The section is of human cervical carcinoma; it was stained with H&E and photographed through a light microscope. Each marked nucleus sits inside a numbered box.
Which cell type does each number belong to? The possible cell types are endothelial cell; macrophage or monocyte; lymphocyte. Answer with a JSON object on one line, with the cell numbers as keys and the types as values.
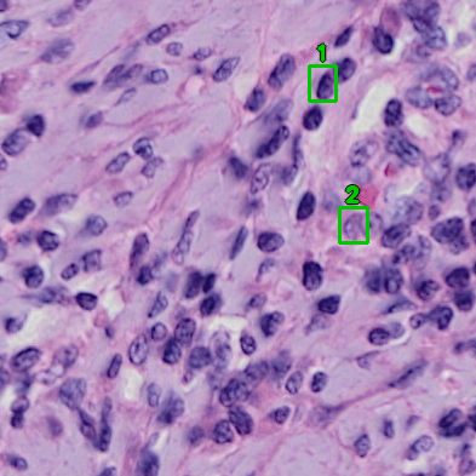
{"1": "lymphocyte", "2": "endothelial cell"}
